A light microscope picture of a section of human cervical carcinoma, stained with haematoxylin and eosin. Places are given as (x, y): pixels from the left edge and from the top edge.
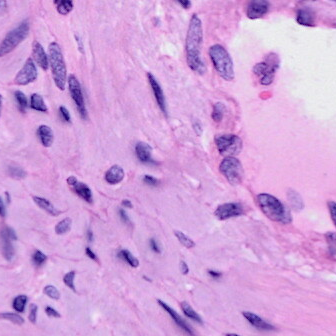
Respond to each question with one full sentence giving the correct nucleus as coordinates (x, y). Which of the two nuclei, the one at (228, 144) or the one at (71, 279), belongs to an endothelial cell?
The nucleus located at (228, 144) is the one held within an endothelial cell.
